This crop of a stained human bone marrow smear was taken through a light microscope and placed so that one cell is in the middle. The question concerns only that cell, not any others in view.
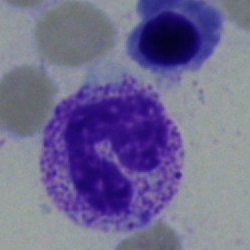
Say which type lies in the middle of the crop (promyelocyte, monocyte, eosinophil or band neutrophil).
band neutrophil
